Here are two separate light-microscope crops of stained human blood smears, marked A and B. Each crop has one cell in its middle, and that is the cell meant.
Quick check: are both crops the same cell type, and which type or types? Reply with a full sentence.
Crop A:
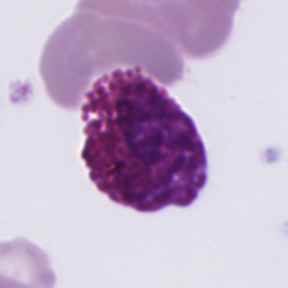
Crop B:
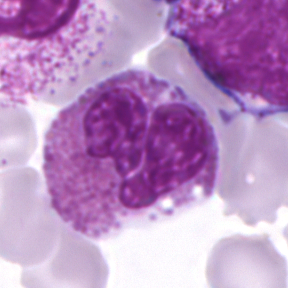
Yes, the crops both have eosinophils in the middle.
